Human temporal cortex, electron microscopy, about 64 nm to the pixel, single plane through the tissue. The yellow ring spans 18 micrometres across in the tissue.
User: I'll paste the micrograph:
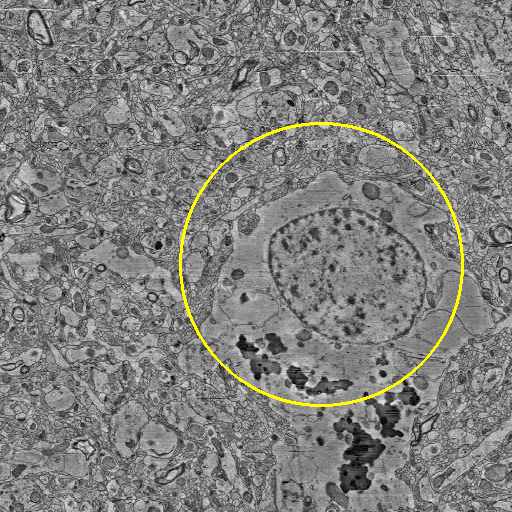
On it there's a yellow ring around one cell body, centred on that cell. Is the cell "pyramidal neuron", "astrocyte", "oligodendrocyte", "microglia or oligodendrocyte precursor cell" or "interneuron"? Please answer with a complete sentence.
The cell ringed in yellow is an astrocyte.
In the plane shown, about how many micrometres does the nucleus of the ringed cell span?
In this plane the nucleus measures roughly 11 by 8 micrometers.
